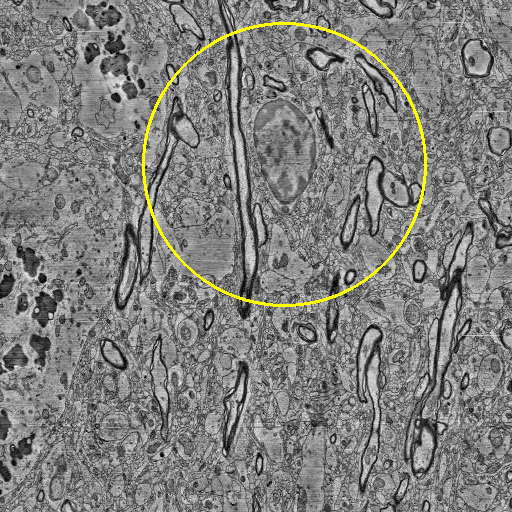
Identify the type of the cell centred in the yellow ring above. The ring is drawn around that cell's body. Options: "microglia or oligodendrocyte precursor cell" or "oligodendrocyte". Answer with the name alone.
microglia or oligodendrocyte precursor cell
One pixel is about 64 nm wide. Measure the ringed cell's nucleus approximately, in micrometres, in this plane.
About 7 by 4 micrometres in this plane; clearly longer than it is wide.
